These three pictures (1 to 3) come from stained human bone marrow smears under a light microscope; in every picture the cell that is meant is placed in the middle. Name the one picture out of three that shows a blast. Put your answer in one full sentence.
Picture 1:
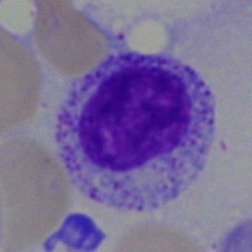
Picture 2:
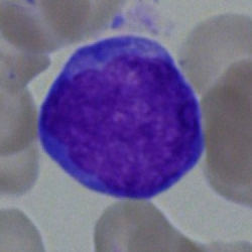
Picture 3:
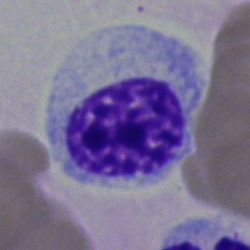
Picture 2 shows the blast.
